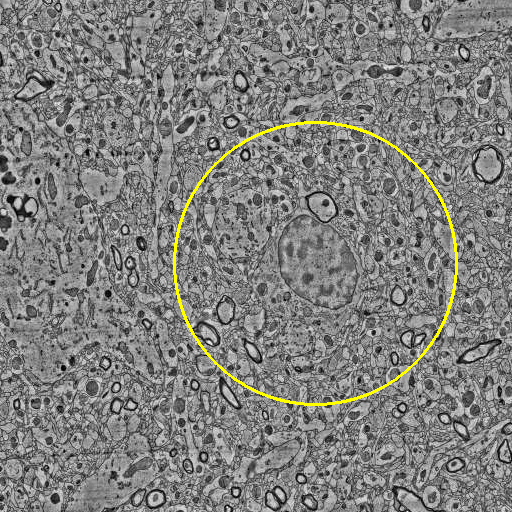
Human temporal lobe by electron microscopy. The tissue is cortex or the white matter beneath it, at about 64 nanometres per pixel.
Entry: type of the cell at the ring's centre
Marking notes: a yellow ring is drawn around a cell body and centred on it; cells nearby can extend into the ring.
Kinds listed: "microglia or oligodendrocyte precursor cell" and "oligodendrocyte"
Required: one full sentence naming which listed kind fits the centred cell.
My entry names an oligodendrocyte as the cell whose body the yellow ring centres on.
